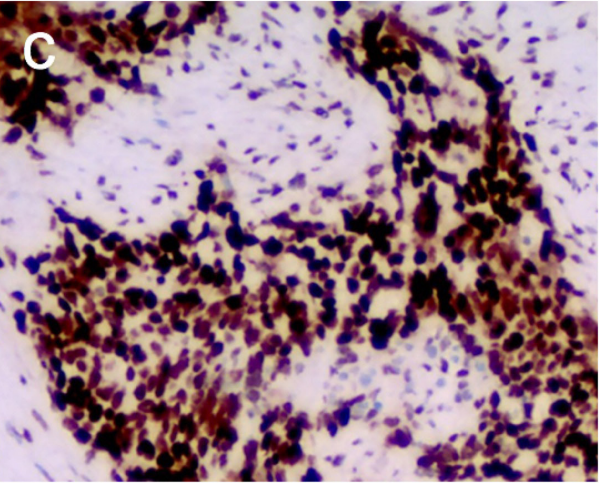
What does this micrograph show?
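Tumour cells form dense clusters and cords, and their nuclei are stained an intense dark brown to almost black. The nuclei are round to oval or short spindle-shaped and closely crowded, with little visible cytoplasm. The cellular clusters are separated by wide areas of pale, loose stroma. Within this stroma lie scattered cells with small, blue, mostly unstained nuclei.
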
